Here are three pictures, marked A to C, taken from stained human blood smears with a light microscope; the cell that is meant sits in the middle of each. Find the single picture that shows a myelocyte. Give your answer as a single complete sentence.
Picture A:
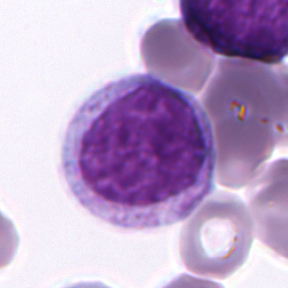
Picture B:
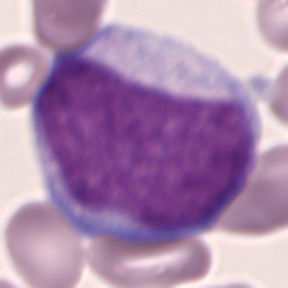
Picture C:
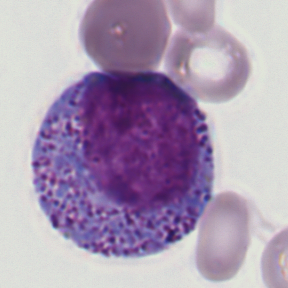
Picture A is the one that shows the myelocyte.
